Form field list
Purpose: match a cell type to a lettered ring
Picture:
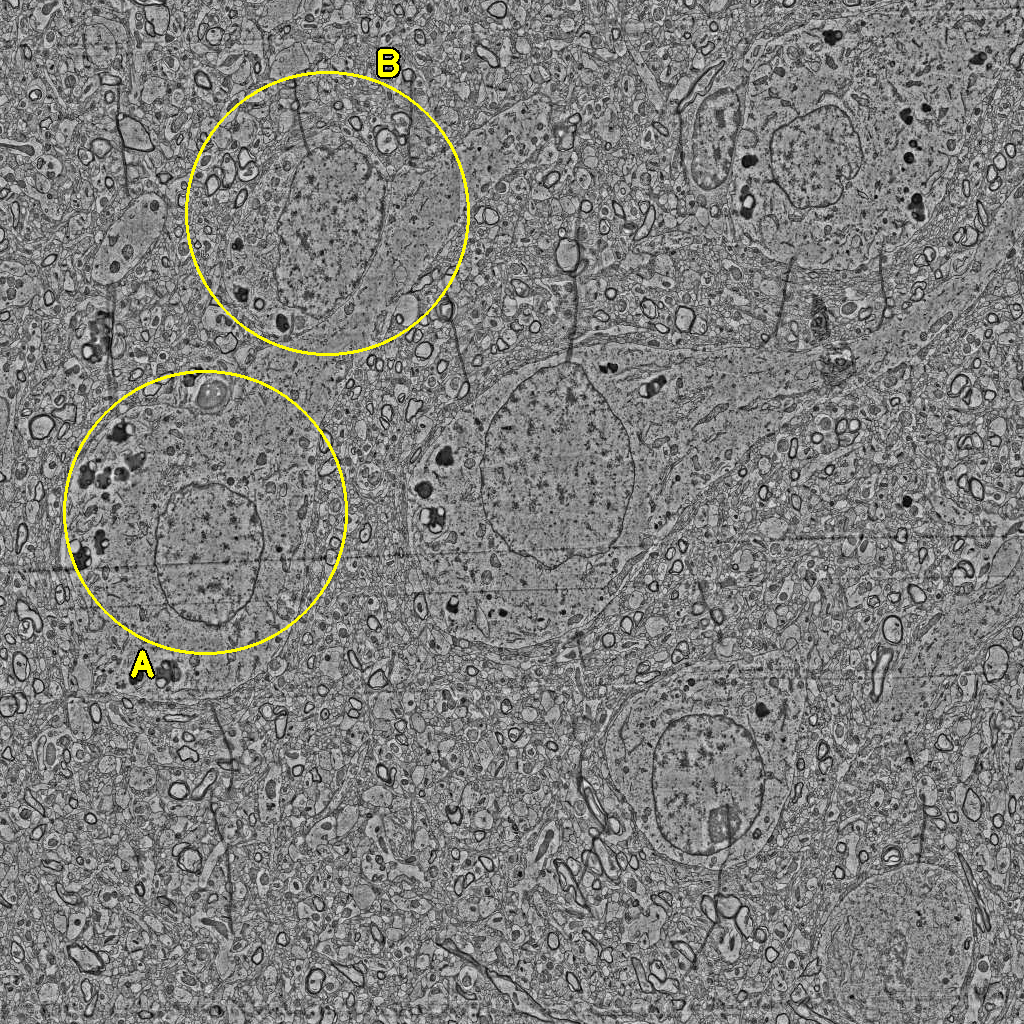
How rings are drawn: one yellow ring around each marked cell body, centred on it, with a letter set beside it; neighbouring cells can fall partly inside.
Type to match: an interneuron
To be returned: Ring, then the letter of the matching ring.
Ring B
